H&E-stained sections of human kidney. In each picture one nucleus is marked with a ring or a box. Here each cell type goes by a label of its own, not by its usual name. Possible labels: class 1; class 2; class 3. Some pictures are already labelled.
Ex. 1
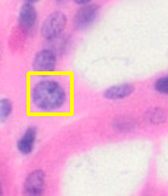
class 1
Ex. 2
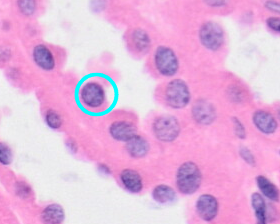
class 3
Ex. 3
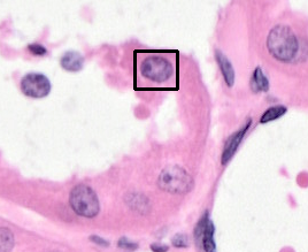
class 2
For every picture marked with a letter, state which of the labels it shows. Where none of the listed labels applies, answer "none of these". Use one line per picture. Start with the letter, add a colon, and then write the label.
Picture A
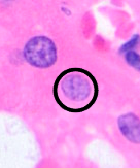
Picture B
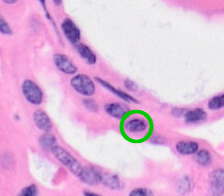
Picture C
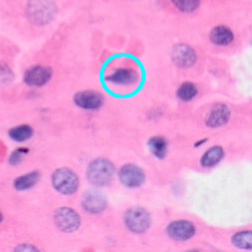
A: class 2
B: class 1
C: none of these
